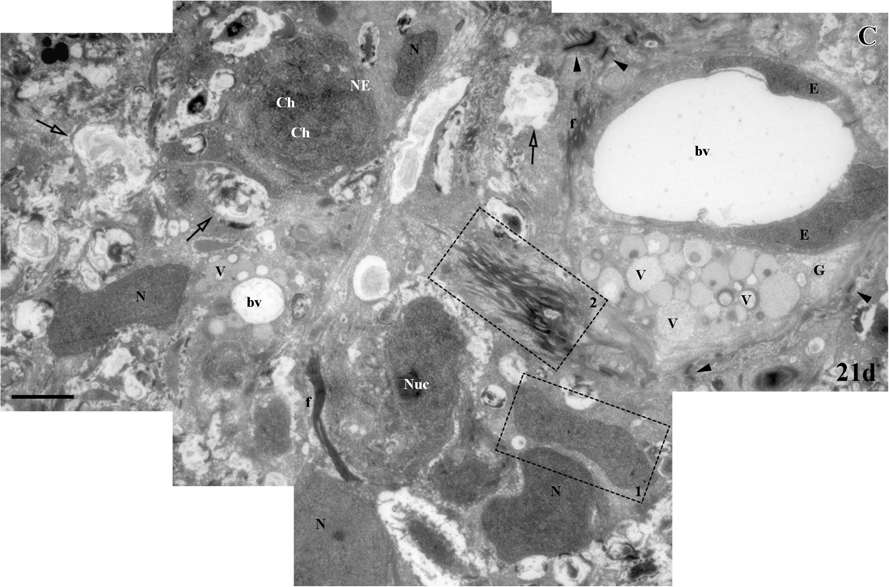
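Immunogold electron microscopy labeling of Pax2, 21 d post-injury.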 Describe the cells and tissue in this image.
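This composite electron micrograph shows a crowded field of glial cells with oval to elongated nuclei lying among astrocyte processes. One cell has condensed, clumped chromosomes in place of a normal nucleus, marking a cell in division, and another nucleus shows a prominent dark nucleolus. To one side a large blood vessel lumen is lined by thin endothelial cells, and nearby lie cells full of round pale vesicles. Bundles of dark intermediate filaments run through the processes, and scattered pale, fragmented areas with membranous debris mark degeneration.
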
